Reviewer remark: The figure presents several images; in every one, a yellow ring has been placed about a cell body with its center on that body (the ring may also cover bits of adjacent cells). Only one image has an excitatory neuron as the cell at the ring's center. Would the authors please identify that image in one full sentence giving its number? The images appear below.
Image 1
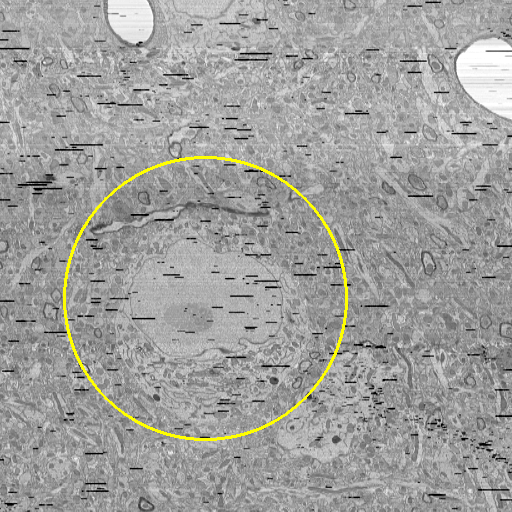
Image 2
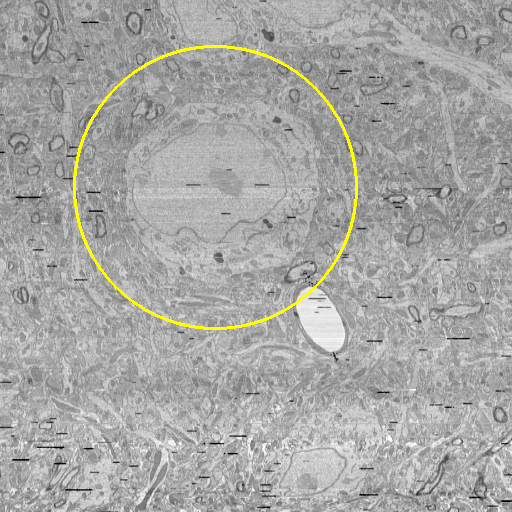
The ring's central cell in image 2 is the one the question describes.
